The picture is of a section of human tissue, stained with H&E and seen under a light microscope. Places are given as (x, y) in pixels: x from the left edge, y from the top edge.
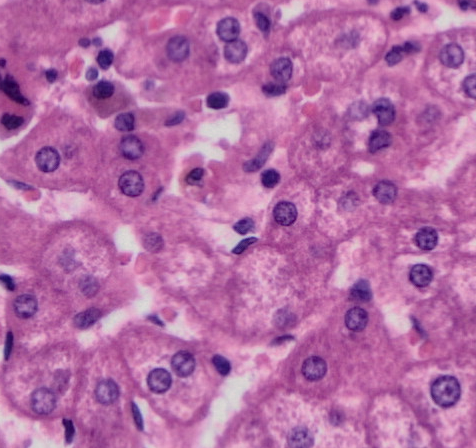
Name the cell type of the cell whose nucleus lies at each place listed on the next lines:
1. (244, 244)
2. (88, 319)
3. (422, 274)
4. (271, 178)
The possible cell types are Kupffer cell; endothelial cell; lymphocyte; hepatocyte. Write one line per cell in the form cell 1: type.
cell 1: endothelial cell
cell 2: Kupffer cell
cell 3: hepatocyte
cell 4: lymphocyte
